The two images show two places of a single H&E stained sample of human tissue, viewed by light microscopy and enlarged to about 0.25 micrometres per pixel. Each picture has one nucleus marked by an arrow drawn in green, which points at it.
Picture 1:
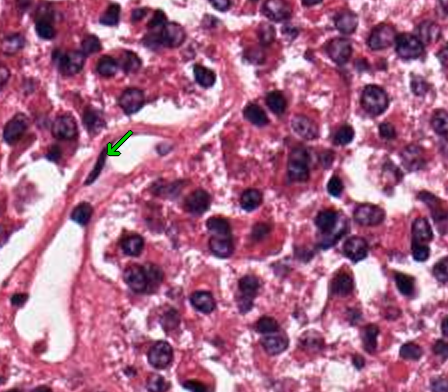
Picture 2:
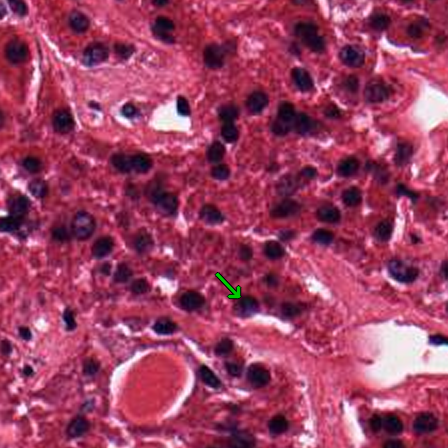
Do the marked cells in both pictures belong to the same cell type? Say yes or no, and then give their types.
No, the first is an endothelial cell and the second an anterior pituitary cell.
